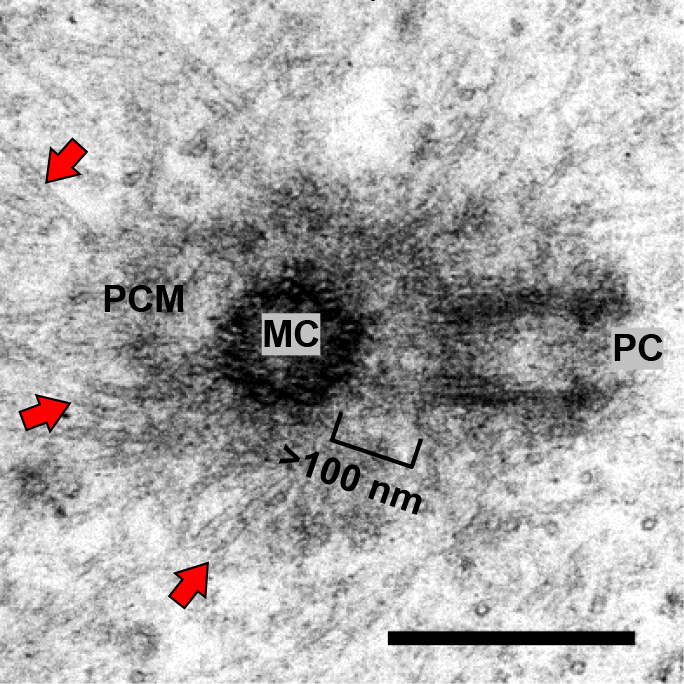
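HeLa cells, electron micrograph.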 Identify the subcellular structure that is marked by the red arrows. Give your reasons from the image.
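Microtubules. Thin straight fibres run outward from the edge of the dark central material. The fibres lie where the red arrows point.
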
